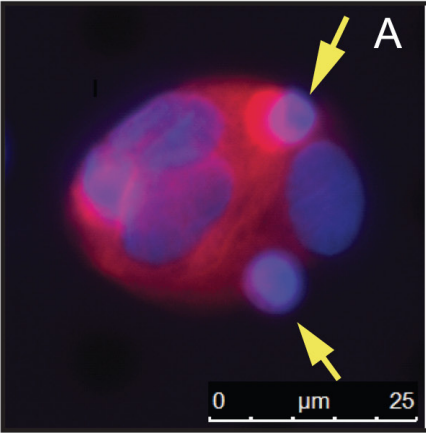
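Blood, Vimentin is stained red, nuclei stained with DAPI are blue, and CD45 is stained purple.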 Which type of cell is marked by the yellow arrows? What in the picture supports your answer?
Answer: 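The marked cells are small and round, much smaller than the neighbouring red cell. Each marked cell has a round purplish-blue nucleus filling most of the cell.
Lymphocytes.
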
